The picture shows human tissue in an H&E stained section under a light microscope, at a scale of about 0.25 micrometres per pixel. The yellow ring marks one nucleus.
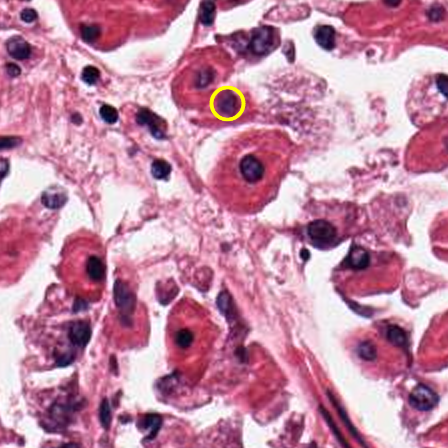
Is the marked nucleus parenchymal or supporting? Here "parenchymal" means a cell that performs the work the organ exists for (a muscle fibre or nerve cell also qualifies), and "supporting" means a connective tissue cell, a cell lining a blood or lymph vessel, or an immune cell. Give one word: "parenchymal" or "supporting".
parenchymal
